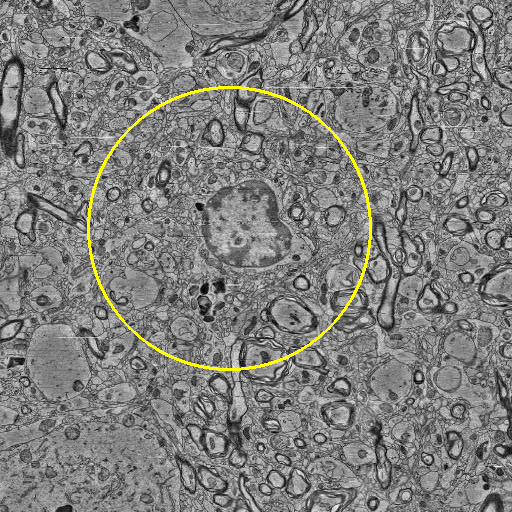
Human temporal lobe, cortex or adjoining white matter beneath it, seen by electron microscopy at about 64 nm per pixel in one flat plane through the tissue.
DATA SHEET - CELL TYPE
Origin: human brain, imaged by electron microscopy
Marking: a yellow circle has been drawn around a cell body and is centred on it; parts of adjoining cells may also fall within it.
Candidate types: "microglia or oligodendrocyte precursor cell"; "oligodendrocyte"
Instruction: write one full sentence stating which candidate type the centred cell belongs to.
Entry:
The cell body at the centre of the yellow ring in this micrograph belongs to a microglial cell or oligodendrocyte precursor cell.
